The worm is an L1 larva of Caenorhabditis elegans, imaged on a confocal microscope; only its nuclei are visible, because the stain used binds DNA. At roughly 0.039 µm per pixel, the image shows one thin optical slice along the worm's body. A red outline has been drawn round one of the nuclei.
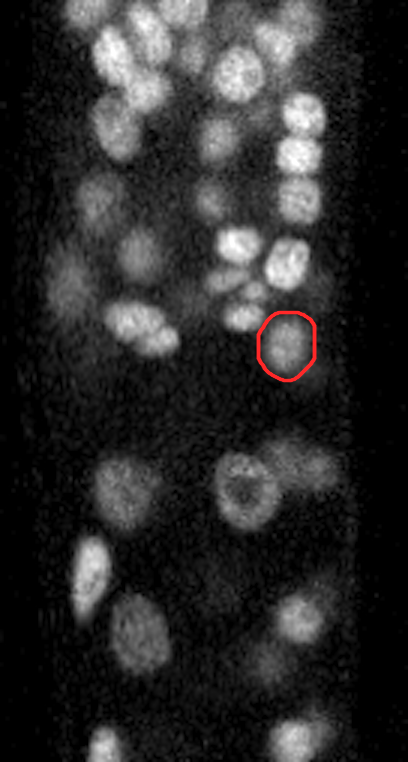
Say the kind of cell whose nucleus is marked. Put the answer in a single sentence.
The cell with the marked nucleus is a body wall muscle cell.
